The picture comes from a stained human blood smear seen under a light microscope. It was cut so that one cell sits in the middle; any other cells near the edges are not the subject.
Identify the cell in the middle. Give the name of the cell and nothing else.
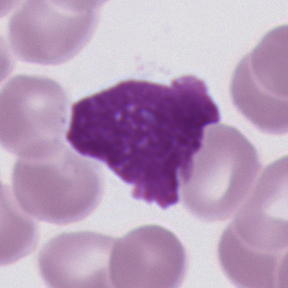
smudge cell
